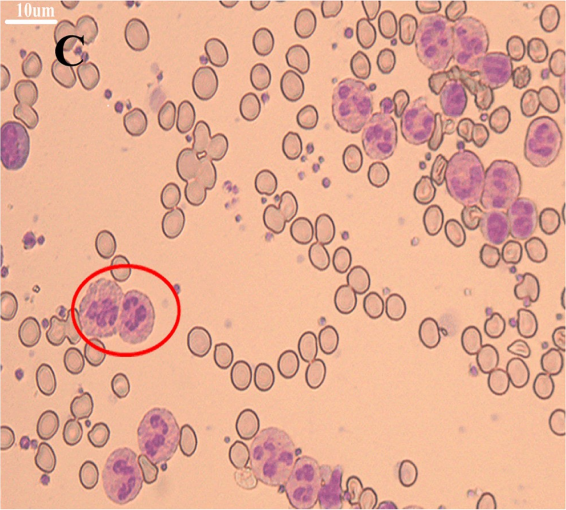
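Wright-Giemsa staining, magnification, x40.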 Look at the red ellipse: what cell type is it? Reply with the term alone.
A: leukocytes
